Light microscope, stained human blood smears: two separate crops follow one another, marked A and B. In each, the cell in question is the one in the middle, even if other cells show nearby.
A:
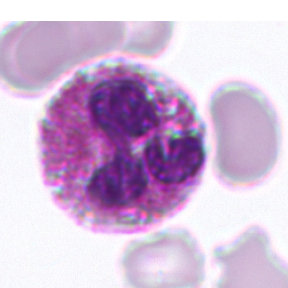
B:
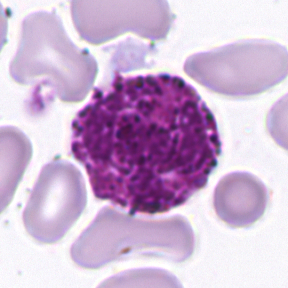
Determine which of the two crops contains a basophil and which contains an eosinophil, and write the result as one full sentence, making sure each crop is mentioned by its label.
Here crop A is an eosinophil, and crop B is a basophil.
